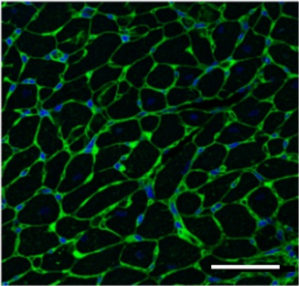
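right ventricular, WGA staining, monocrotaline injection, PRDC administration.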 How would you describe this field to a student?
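Cross-section of heart muscle showing cardiac myocytes as closely packed, polygonal profiles, each bounded by a thin green outline. The interiors of the fibres are dark. Small blue nuclei lie mostly in the narrow spaces between the fibres.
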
